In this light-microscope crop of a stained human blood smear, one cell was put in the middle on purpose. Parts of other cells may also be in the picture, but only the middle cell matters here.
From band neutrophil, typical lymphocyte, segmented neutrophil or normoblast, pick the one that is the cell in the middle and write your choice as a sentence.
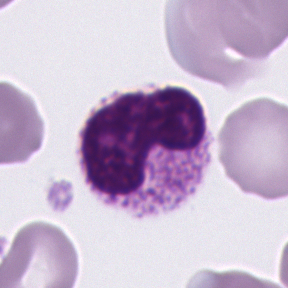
The cell at the heart of this crop is a band neutrophil.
